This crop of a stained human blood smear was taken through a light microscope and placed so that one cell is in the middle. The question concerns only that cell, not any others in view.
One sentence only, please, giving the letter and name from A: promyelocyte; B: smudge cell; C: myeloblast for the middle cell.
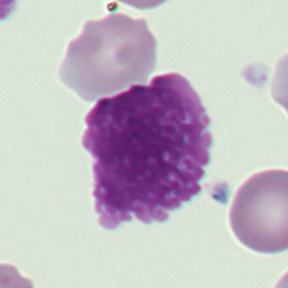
For this crop, option B is right, the centered cell being a smudge cell.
